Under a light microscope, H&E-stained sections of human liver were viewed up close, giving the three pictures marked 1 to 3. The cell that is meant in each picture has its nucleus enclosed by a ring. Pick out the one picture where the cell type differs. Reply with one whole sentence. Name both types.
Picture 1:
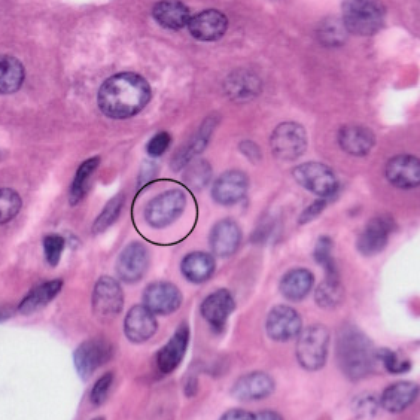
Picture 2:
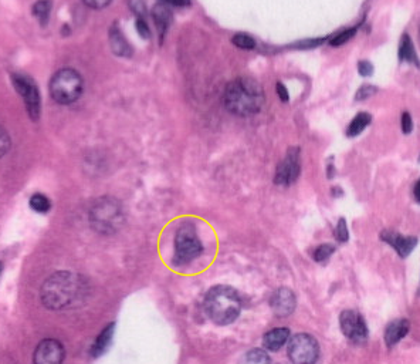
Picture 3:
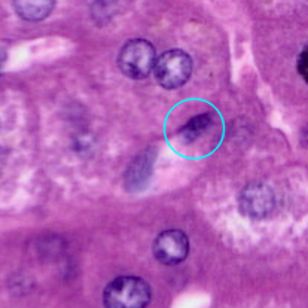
Picture 1 is the odd one out: it shows a cholangiocyte, while the others show “fibroblasts or stellate cells”.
